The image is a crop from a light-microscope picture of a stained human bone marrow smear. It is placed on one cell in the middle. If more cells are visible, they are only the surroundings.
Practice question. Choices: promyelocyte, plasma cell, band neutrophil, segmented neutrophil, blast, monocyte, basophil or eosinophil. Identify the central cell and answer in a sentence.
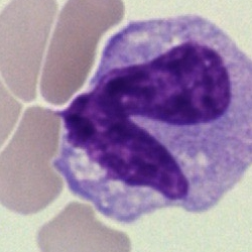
This crop is built around a monocyte at its centre.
